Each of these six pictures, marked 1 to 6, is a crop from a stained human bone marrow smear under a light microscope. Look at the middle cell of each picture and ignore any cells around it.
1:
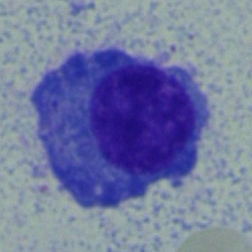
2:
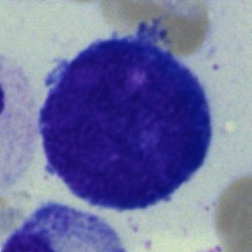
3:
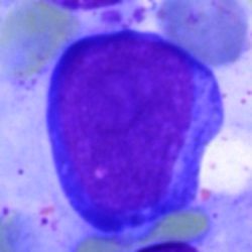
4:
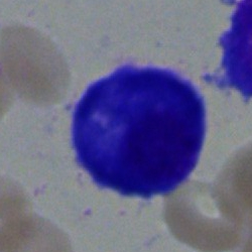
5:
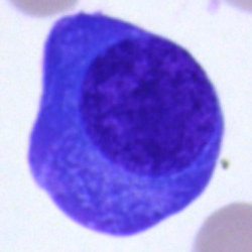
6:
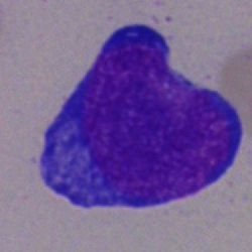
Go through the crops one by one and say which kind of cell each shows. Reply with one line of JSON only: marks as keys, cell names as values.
{"1": "plasma cell", "2": "proerythroblast", "3": "proerythroblast", "4": "plasma cell", "5": "plasma cell", "6": "proerythroblast"}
